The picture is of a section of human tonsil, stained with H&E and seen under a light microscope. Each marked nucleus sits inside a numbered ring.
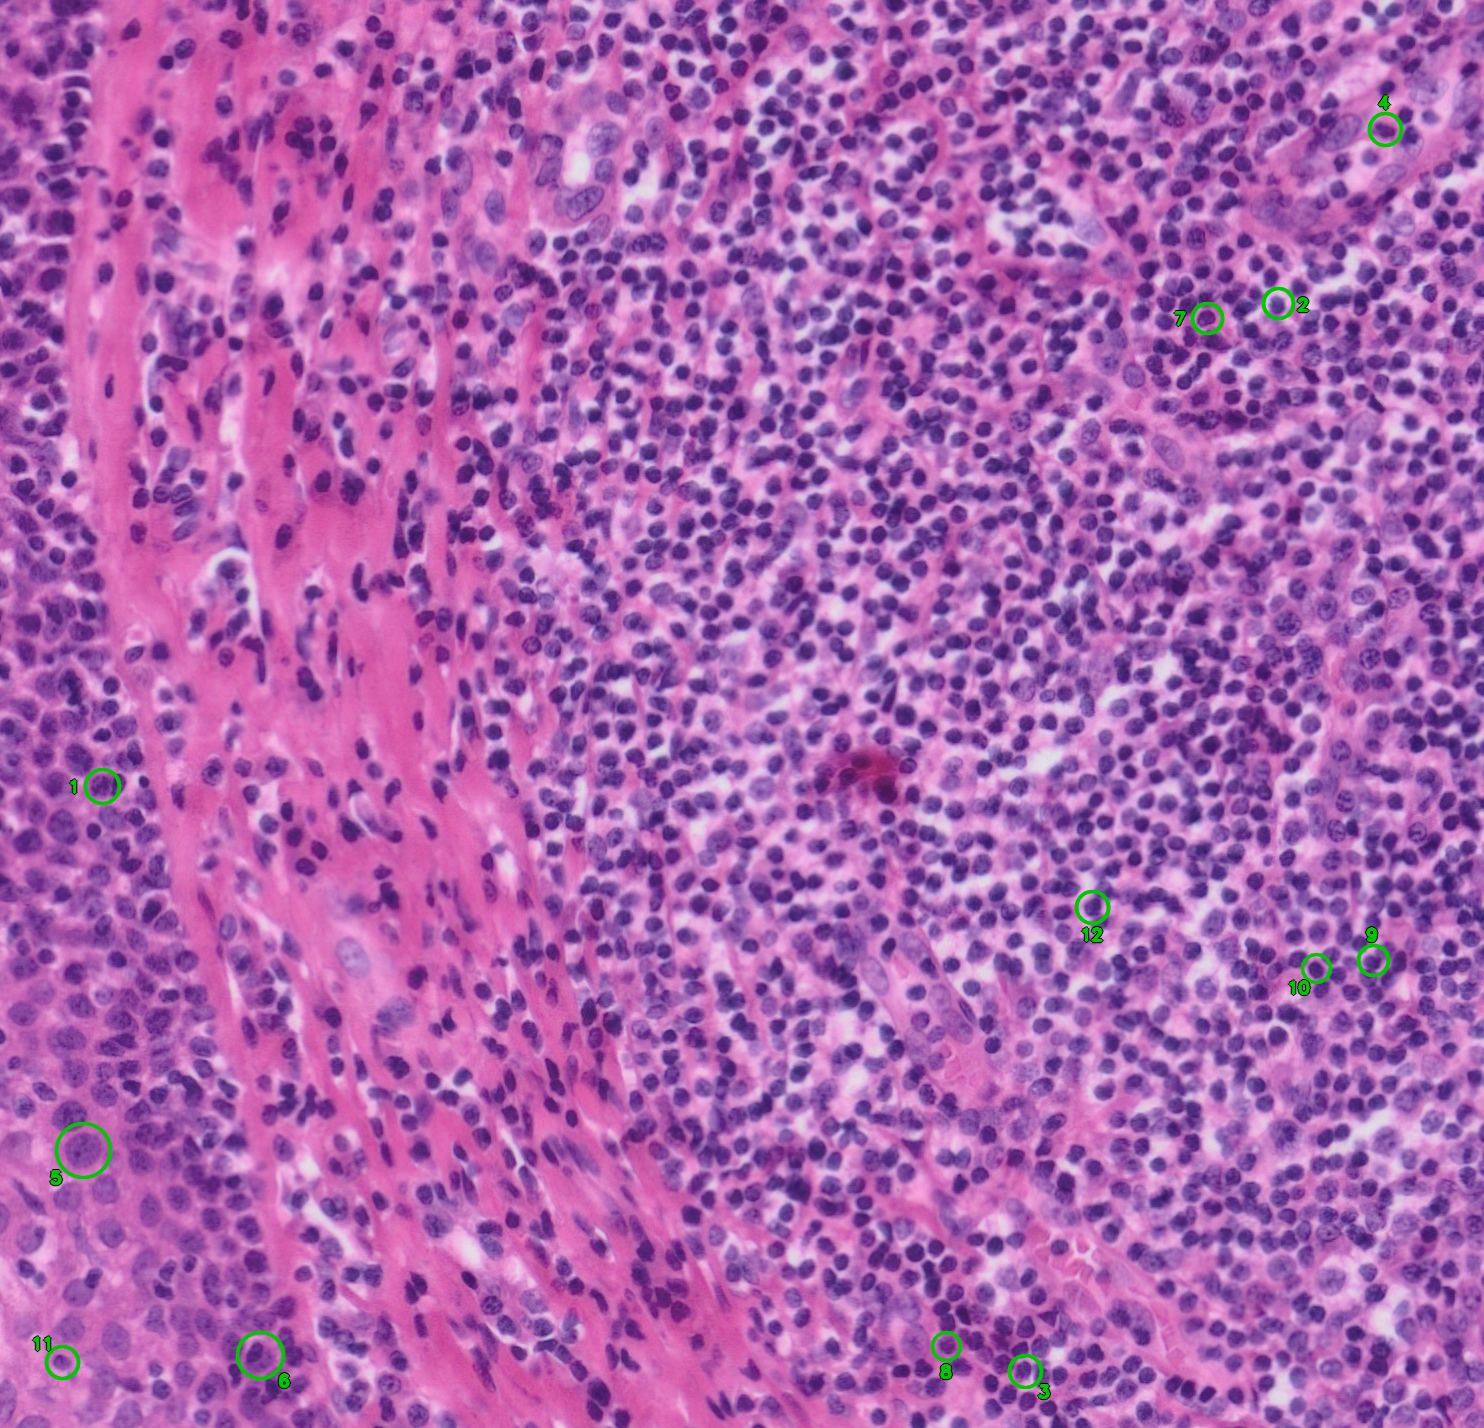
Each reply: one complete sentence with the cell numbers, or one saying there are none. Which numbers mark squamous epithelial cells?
The identity of cells 1, 5, 6 and 11: they are squamous epithelial cells.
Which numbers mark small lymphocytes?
The cells that have been numbered 2, 3, 7, 9, 10 and 12 are small lymphocytes.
